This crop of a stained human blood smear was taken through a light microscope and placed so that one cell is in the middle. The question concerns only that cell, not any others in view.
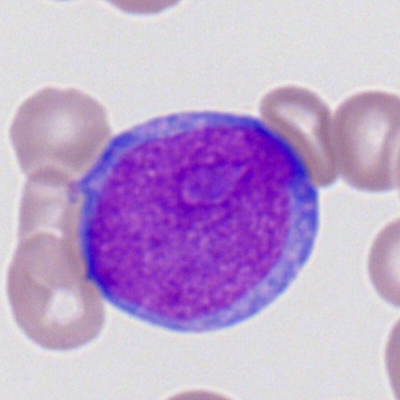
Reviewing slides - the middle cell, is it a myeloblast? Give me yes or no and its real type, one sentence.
Yes, the cell at the middle is a myeloblast.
